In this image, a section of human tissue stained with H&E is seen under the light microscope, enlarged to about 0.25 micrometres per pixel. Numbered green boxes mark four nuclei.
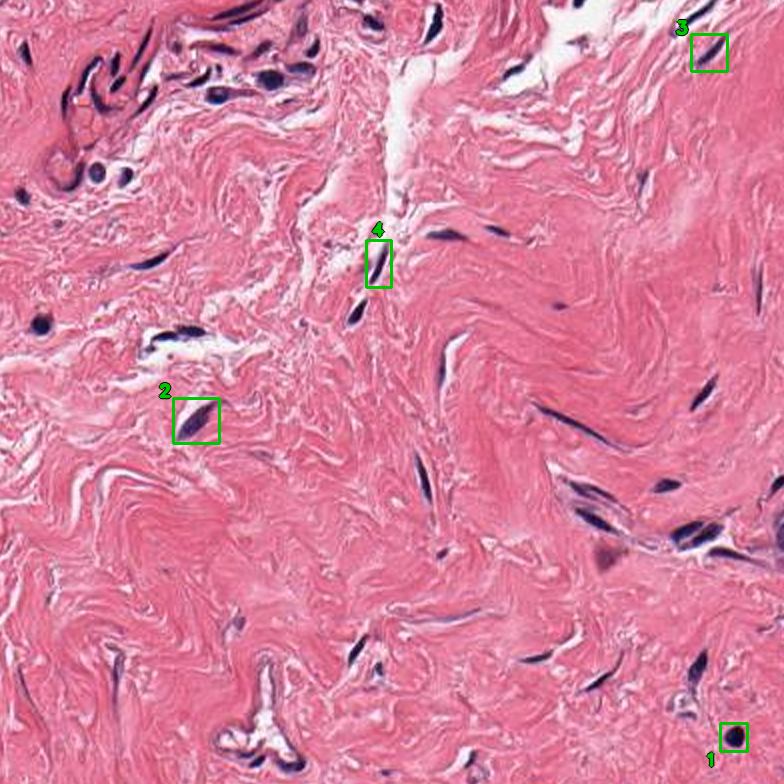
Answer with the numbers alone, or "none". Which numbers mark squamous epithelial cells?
none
